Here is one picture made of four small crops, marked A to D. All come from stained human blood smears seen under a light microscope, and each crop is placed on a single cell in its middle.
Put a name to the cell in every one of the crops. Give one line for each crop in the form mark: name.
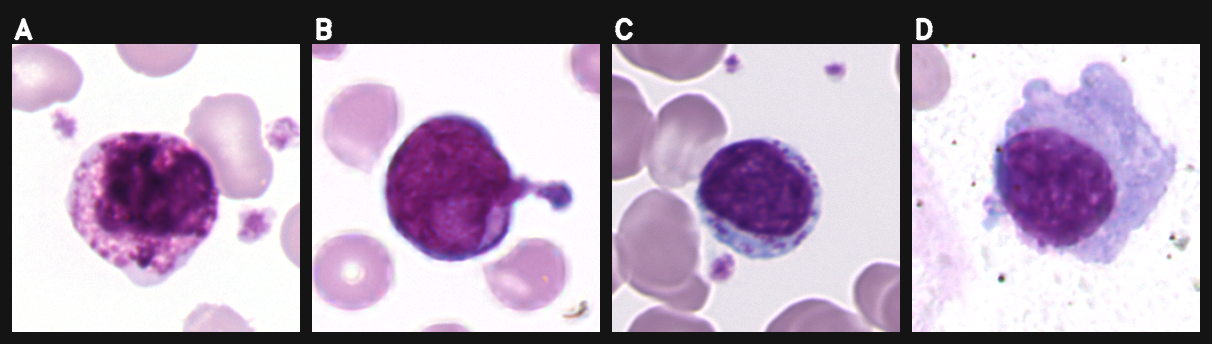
A: basophil
B: atypical promyelocyte
C: large granular lymphocyte
D: plasma cell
